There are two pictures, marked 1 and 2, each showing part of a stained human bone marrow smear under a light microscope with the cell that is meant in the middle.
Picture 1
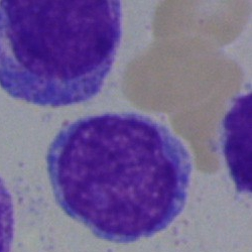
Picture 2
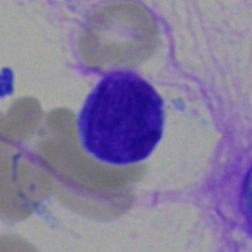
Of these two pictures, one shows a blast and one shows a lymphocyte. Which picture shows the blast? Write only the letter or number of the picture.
1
